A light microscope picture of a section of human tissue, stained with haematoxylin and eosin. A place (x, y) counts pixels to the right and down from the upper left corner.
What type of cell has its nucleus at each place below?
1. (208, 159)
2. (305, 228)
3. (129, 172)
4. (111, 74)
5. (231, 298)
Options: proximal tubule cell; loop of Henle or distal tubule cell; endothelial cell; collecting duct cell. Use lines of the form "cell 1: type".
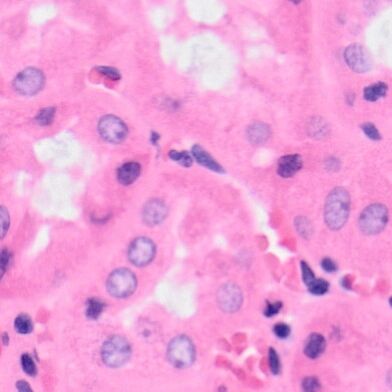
cell 1: endothelial cell
cell 2: proximal tubule cell
cell 3: proximal tubule cell
cell 4: endothelial cell
cell 5: proximal tubule cell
